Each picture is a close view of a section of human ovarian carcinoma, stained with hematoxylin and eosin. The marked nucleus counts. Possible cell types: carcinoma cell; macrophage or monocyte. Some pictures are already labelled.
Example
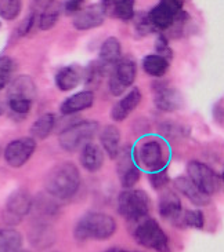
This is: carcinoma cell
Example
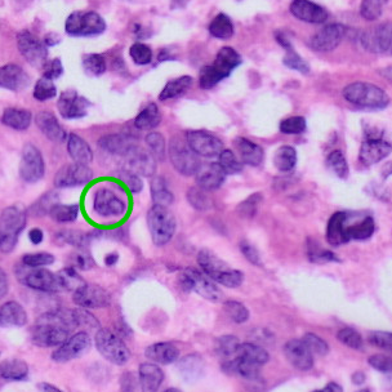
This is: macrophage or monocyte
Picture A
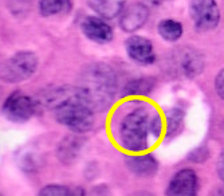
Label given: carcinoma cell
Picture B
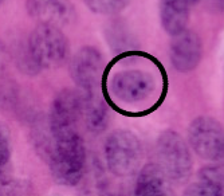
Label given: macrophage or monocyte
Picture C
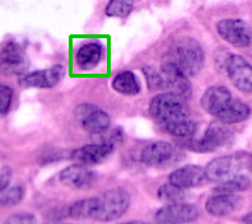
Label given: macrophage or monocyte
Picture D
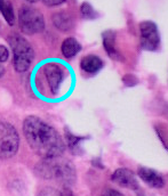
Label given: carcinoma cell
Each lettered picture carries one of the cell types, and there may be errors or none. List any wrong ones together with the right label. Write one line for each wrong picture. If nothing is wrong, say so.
None of the labels needs changing.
